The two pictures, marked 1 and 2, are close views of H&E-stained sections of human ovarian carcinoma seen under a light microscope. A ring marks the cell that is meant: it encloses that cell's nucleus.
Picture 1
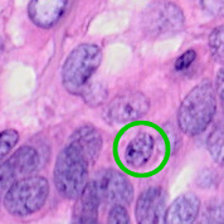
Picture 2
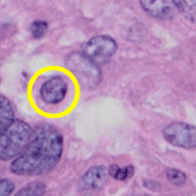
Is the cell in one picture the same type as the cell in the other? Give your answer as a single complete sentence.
Yes, they are the same type: both are “macrophages or monocytes”.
